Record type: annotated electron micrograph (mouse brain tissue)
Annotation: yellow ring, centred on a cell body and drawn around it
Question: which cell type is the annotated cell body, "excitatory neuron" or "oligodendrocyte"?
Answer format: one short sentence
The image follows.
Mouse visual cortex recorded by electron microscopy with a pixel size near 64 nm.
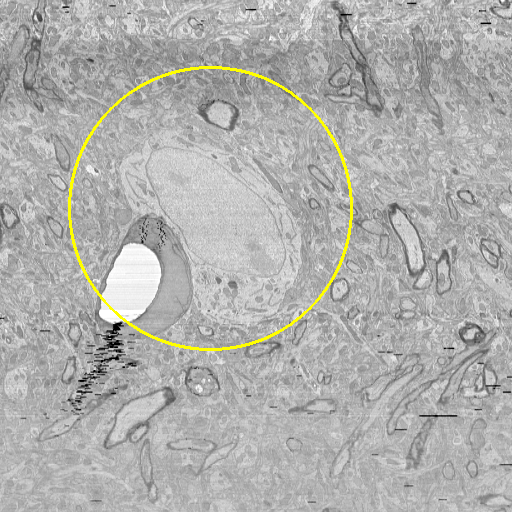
The annotated cell body is that of an excitatory neuron.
